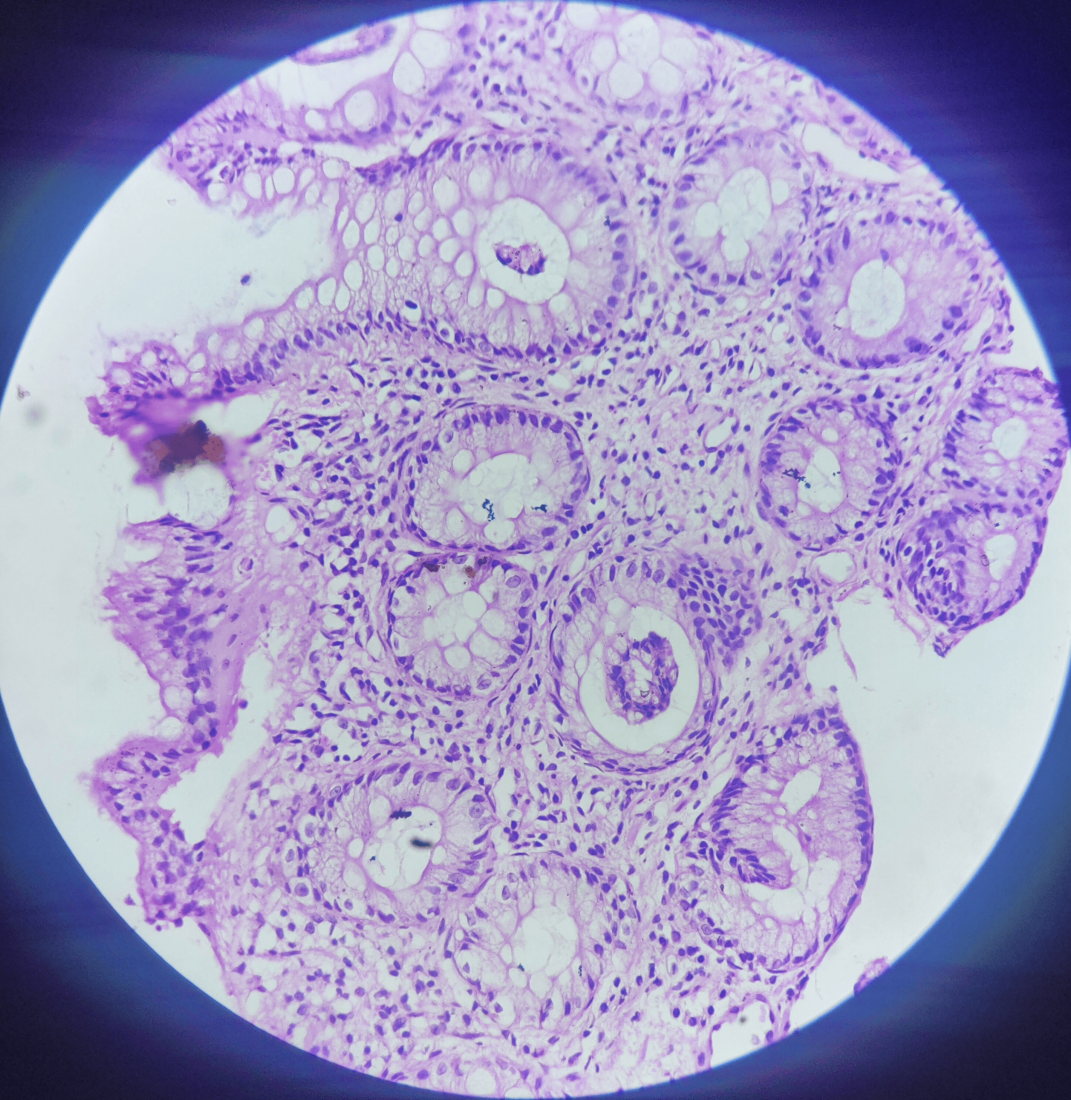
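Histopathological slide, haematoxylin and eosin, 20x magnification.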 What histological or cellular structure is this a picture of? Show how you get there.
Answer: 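Colonic crypts. Round glandular profiles cut in cross-section, each with a central lumen. Glands lined by columnar epithelium with many pale, clear mucin-filled goblet cells. Basal, dark purple nuclei form a ring at the outer edge of each gland.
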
